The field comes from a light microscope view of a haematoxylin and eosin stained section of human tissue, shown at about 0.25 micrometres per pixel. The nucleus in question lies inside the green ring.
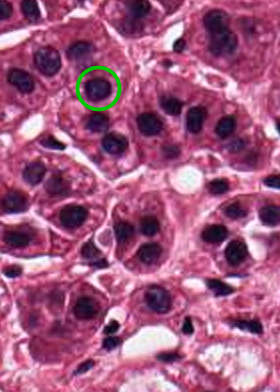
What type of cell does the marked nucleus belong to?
adrenal cortical cell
